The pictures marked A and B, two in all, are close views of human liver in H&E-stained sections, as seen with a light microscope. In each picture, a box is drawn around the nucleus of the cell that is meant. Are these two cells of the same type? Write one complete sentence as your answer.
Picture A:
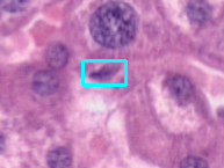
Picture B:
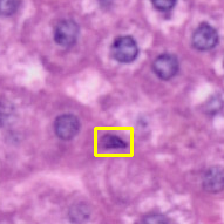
No; the cell in picture A is an endothelial cell, while the one in picture B is a “fibroblast or stellate cell”.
